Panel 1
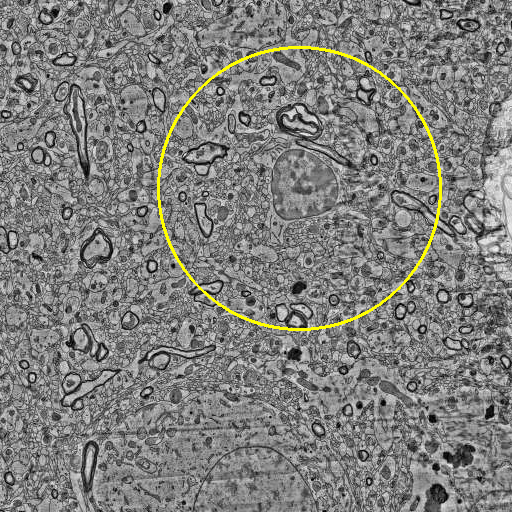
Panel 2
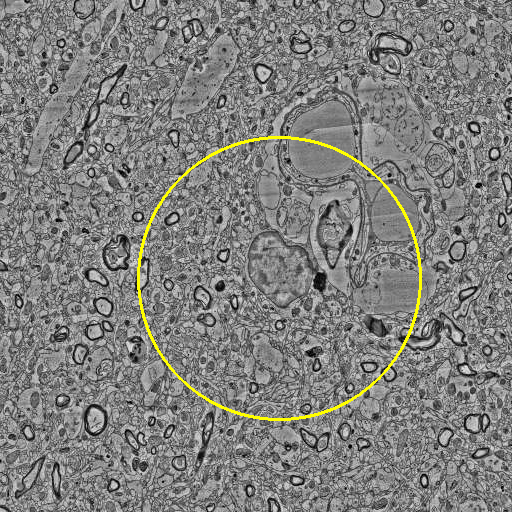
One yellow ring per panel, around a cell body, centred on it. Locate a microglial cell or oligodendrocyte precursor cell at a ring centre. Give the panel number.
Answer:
1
